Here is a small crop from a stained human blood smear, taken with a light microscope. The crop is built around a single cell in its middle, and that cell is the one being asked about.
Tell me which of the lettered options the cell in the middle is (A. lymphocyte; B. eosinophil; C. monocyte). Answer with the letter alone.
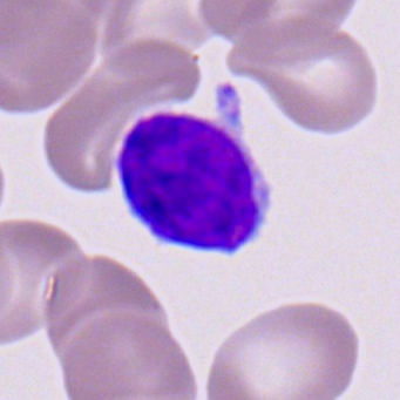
A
